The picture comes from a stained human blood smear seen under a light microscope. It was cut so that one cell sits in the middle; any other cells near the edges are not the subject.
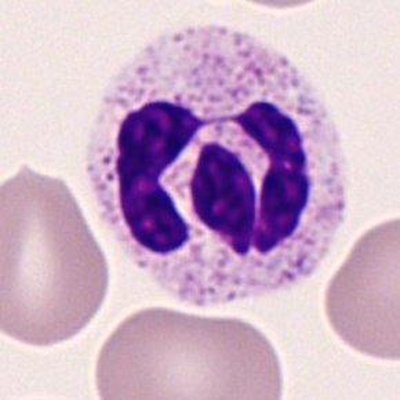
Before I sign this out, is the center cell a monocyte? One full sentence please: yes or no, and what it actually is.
No, this is not a monocyte at all; the cell in the middle is a segmented neutrophil.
